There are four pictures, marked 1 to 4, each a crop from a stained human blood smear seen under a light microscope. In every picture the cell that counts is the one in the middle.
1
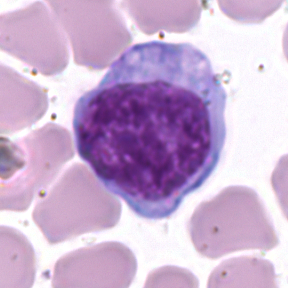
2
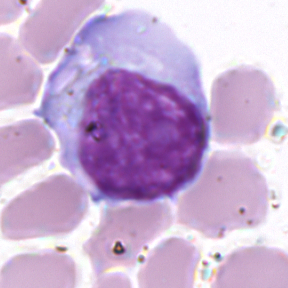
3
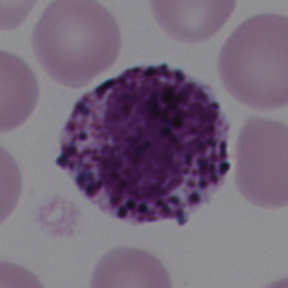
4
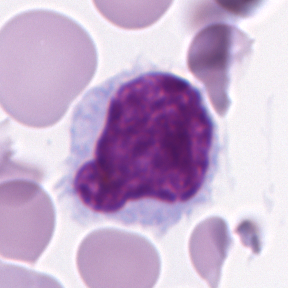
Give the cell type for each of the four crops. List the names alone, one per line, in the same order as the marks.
plasma cell
plasma cell
basophil
hairy cell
